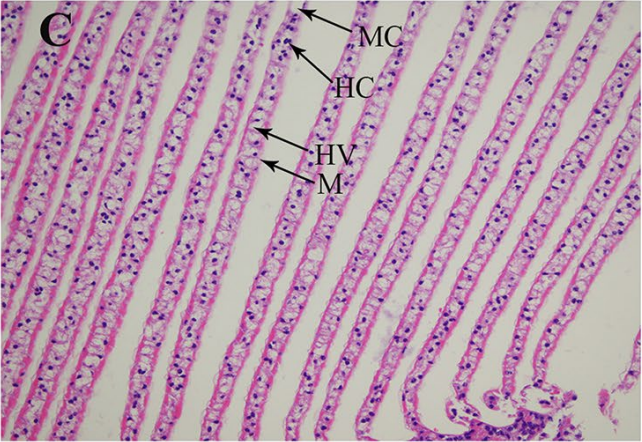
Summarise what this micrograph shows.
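Section of gills made of many long, thin lamellae lying parallel to one another and separated by clear spaces. The lamellae keep an even width along their length.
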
